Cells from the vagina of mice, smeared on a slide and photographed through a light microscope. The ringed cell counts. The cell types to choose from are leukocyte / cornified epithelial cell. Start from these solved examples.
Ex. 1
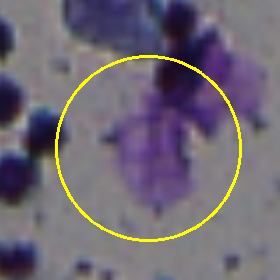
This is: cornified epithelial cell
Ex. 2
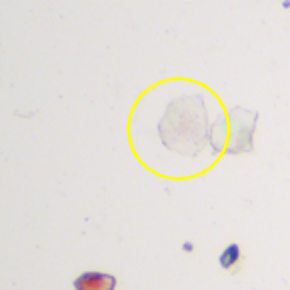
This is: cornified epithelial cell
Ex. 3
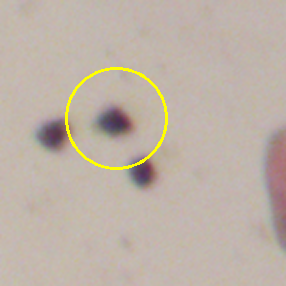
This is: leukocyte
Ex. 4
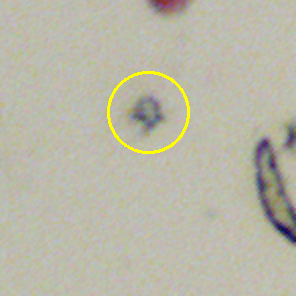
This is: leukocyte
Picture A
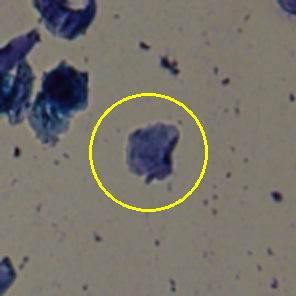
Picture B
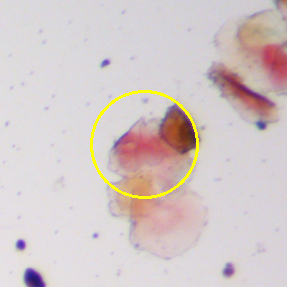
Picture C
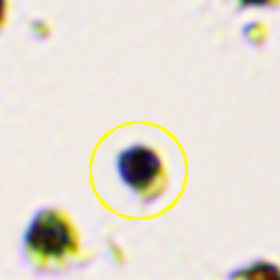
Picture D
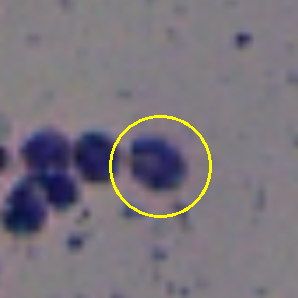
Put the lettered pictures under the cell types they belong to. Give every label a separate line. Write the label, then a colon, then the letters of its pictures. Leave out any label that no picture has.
leukocyte: C, D
cornified epithelial cell: A, B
